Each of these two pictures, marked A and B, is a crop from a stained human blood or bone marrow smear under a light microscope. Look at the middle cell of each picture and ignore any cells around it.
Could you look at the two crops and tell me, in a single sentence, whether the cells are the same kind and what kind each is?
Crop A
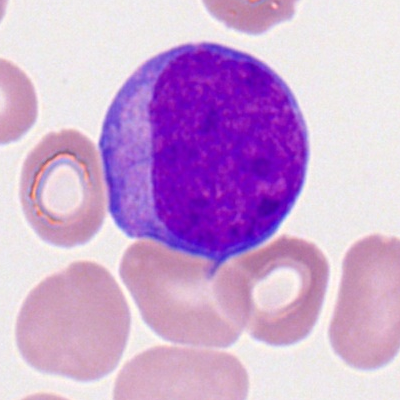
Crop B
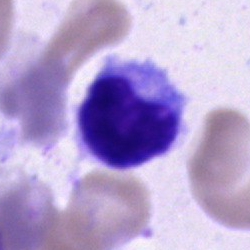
No, crop A shows a blast, whereas a lymphocyte is what crop B shows.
